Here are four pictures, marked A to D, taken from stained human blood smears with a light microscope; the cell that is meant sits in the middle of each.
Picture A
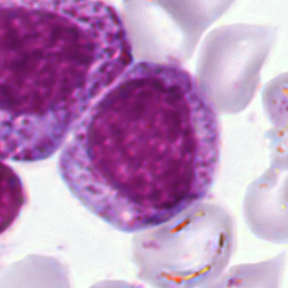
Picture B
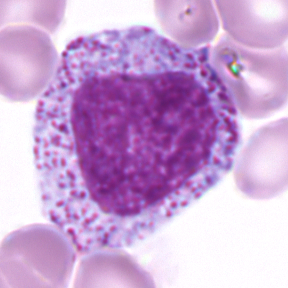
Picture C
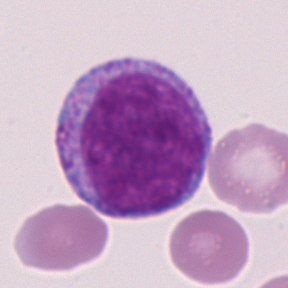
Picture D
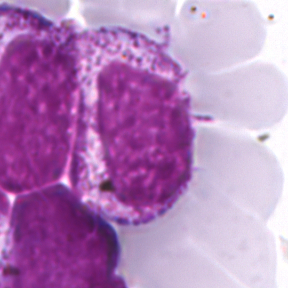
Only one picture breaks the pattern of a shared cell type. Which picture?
C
